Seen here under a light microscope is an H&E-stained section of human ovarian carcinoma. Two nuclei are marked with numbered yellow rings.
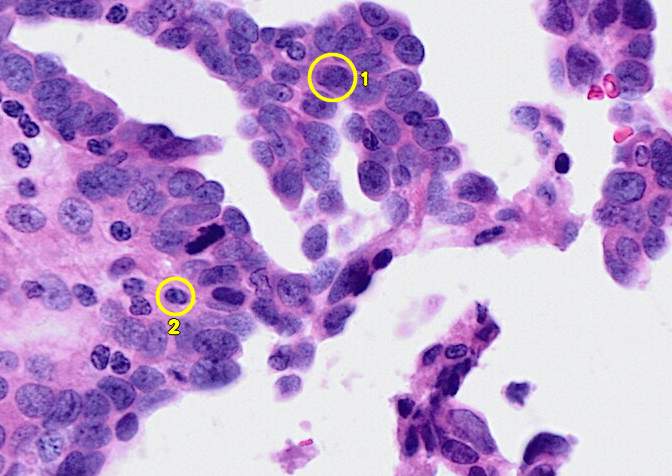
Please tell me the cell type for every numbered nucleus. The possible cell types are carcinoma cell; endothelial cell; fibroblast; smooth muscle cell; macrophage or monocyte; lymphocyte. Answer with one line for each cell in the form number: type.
1: carcinoma cell
2: lymphocyte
